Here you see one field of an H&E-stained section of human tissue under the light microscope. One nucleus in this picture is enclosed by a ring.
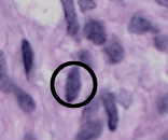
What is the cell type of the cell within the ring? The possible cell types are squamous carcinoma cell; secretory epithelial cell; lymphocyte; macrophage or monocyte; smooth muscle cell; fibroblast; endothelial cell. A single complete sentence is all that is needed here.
With respect to cell type, the cell within the ring is a fibroblast.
